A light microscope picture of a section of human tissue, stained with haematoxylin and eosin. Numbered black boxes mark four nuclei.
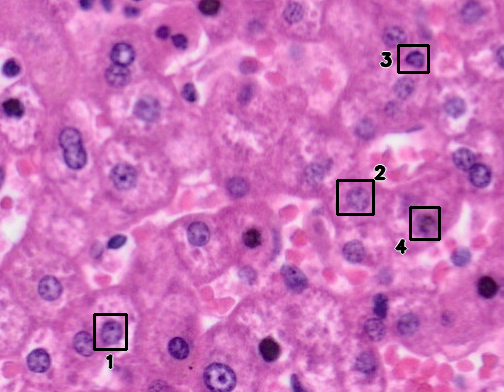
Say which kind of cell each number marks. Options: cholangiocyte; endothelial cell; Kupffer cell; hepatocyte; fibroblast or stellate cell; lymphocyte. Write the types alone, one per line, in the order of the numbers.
hepatocyte
hepatocyte
fibroblast or stellate cell
hepatocyte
